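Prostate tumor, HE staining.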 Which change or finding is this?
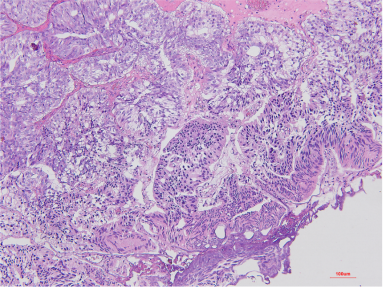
The glandular architecture is disrupted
